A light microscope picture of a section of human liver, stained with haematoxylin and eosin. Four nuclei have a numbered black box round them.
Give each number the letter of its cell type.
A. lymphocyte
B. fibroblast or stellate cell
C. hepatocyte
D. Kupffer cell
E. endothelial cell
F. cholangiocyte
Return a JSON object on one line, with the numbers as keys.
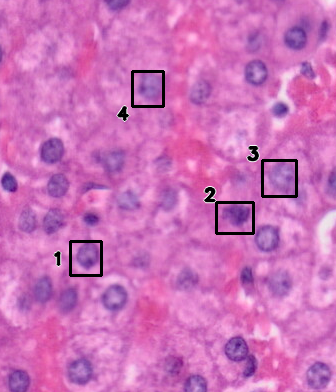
{"1": "C", "2": "B", "3": "C", "4": "C"}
